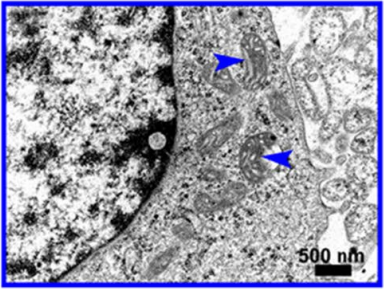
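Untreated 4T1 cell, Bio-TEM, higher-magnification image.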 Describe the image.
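Part of a cell seen by transmission electron microscopy: on the left lies the nucleus, its chromatin in dark clumps, many gathered along the nuclear envelope, bounded by a smooth curved edge. To the right is cytoplasm holding several oval organelles with dense matrix and clearly folded inner membranes running across them; these are mitochondria, sitting close to the nucleus. Around them are membrane profiles, small vesicles and a finely granular cytoplasm. The organelles keep their elongated to oval shape and their cristae are distinct.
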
